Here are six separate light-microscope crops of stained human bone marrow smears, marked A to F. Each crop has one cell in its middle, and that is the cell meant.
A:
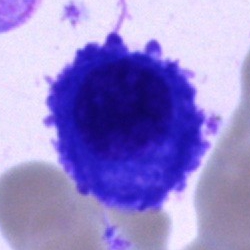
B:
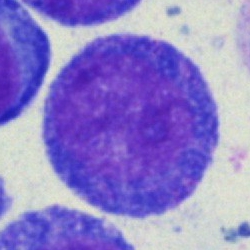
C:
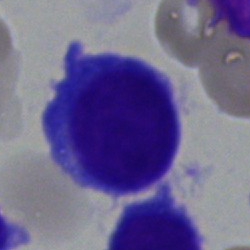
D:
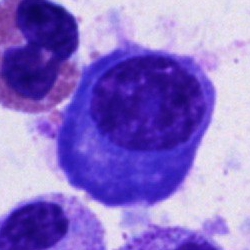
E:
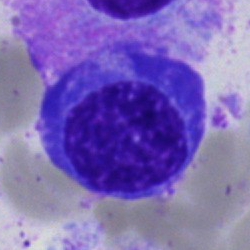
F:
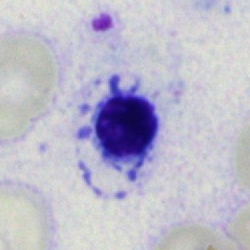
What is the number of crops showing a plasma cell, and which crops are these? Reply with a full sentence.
In four crops, namely A, C, D and E, the cells shown are plasma cells.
